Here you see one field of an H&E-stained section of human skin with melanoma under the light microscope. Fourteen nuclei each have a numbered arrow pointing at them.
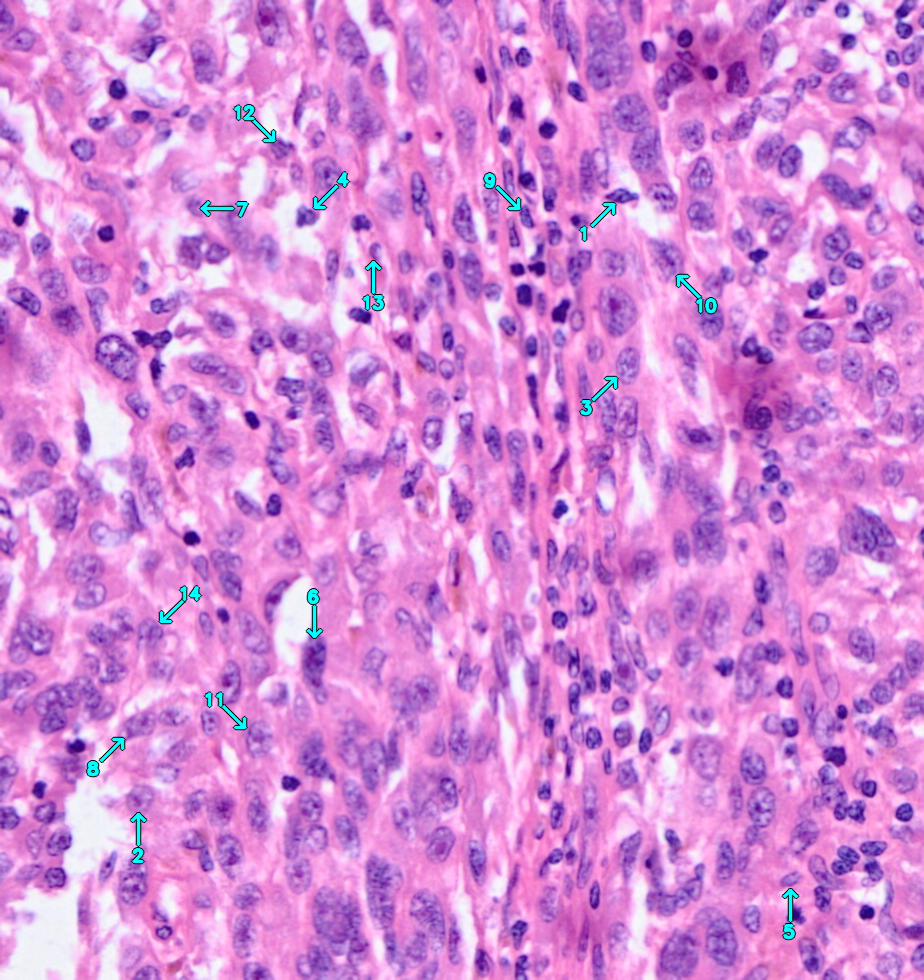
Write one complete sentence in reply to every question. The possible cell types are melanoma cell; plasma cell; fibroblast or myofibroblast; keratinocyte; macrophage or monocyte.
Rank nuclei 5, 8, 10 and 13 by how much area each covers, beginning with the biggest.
By area, largest first, they run 10, 8, 5, 13.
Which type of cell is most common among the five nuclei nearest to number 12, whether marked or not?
Of the five nuclei nearest to number 12, most belong to melanoma cells.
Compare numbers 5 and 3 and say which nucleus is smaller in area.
The smaller nucleus is 5, and 3 covers roughly 3 times its area.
